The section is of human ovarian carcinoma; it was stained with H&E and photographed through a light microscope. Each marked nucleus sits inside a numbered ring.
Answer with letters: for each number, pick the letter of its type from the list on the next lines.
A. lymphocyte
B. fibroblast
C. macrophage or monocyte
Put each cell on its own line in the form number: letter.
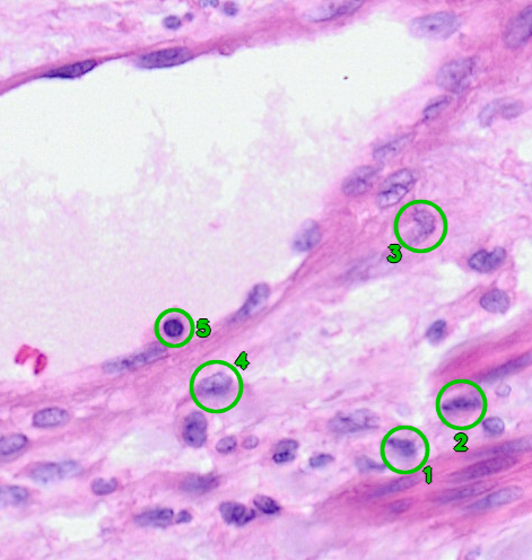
1: C
2: C
3: B
4: B
5: A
